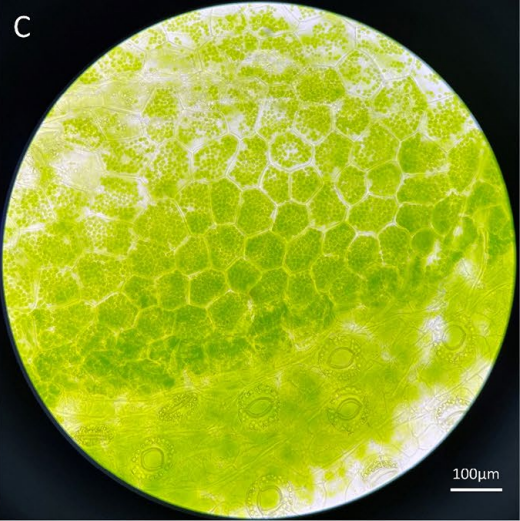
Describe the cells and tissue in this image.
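Most of the field is taken up by a sheet of polygonal, roughly honeycomb-shaped plant cells with thin, clear walls. Each cell is crowded with many small, round green bodies, and these are chloroplasts. Toward the top of the field the cells look somewhat looser and paler. Along the lower edge lie more elongated, clearer cells.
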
